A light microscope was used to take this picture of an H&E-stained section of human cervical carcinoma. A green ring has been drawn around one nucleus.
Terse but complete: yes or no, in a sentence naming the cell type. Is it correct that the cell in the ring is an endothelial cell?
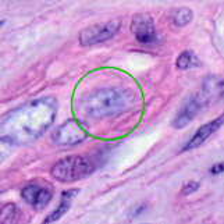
Yes, in this section the cell in the ring is an endothelial cell.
